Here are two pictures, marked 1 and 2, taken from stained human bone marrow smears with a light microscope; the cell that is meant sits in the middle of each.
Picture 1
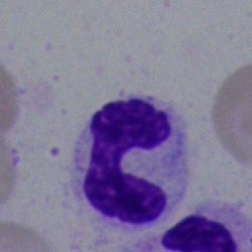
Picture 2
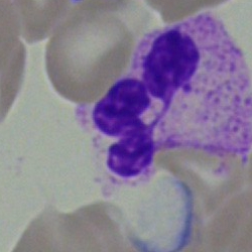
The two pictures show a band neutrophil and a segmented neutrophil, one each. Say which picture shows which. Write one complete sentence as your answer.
In picture 1 the cell is a band neutrophil; in picture 2, a segmented neutrophil.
